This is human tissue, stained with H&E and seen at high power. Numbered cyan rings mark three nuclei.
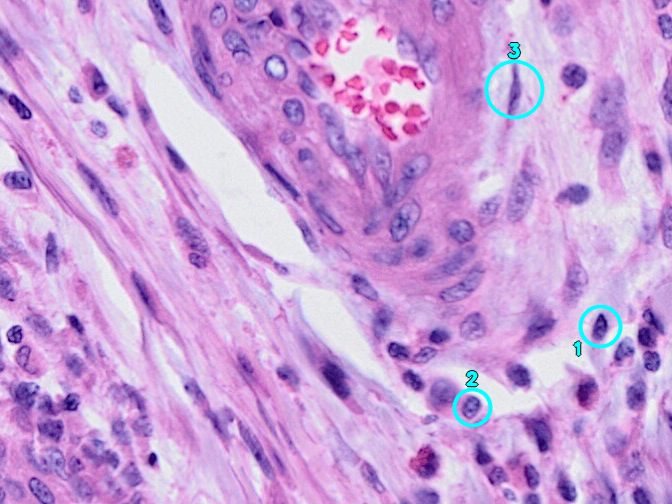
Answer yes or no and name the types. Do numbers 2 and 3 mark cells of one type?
No, cell number 2 is a lymphocyte, and cell number 3 is a fibroblast.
